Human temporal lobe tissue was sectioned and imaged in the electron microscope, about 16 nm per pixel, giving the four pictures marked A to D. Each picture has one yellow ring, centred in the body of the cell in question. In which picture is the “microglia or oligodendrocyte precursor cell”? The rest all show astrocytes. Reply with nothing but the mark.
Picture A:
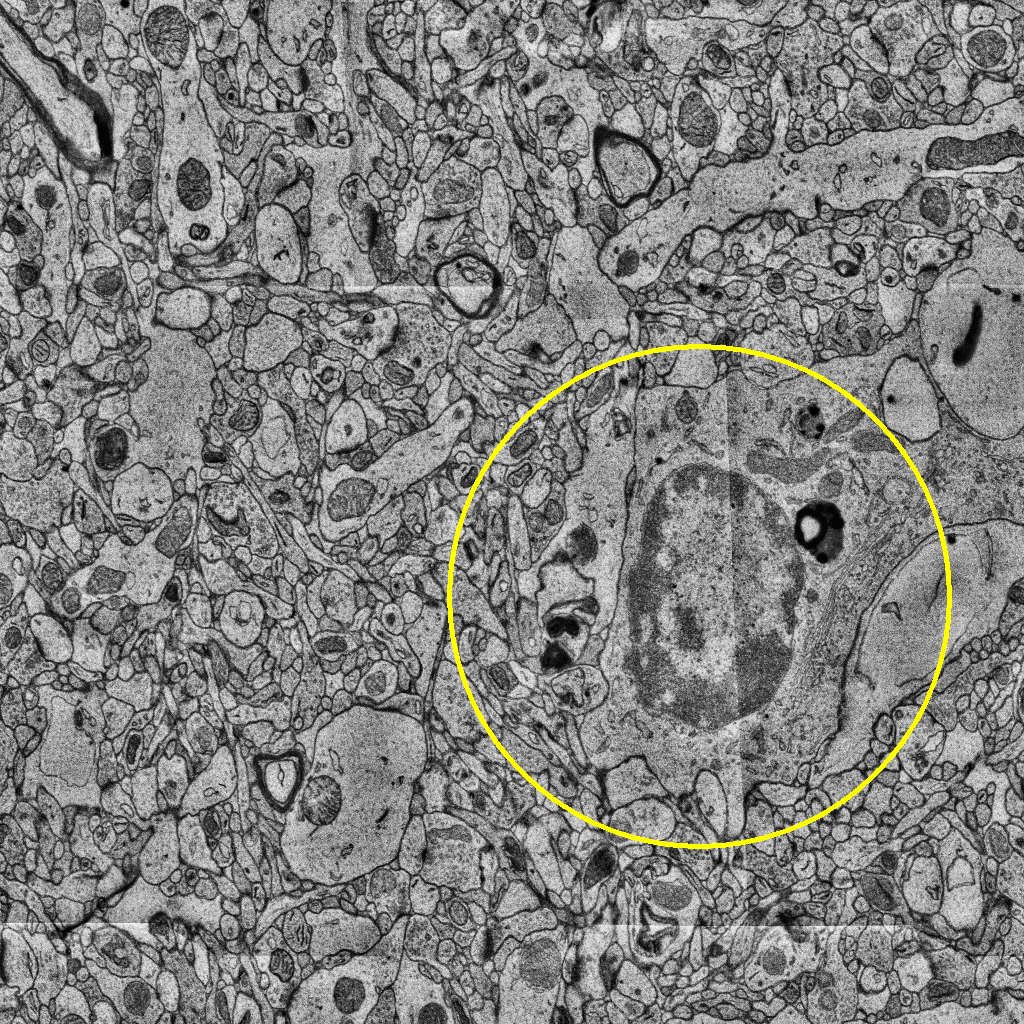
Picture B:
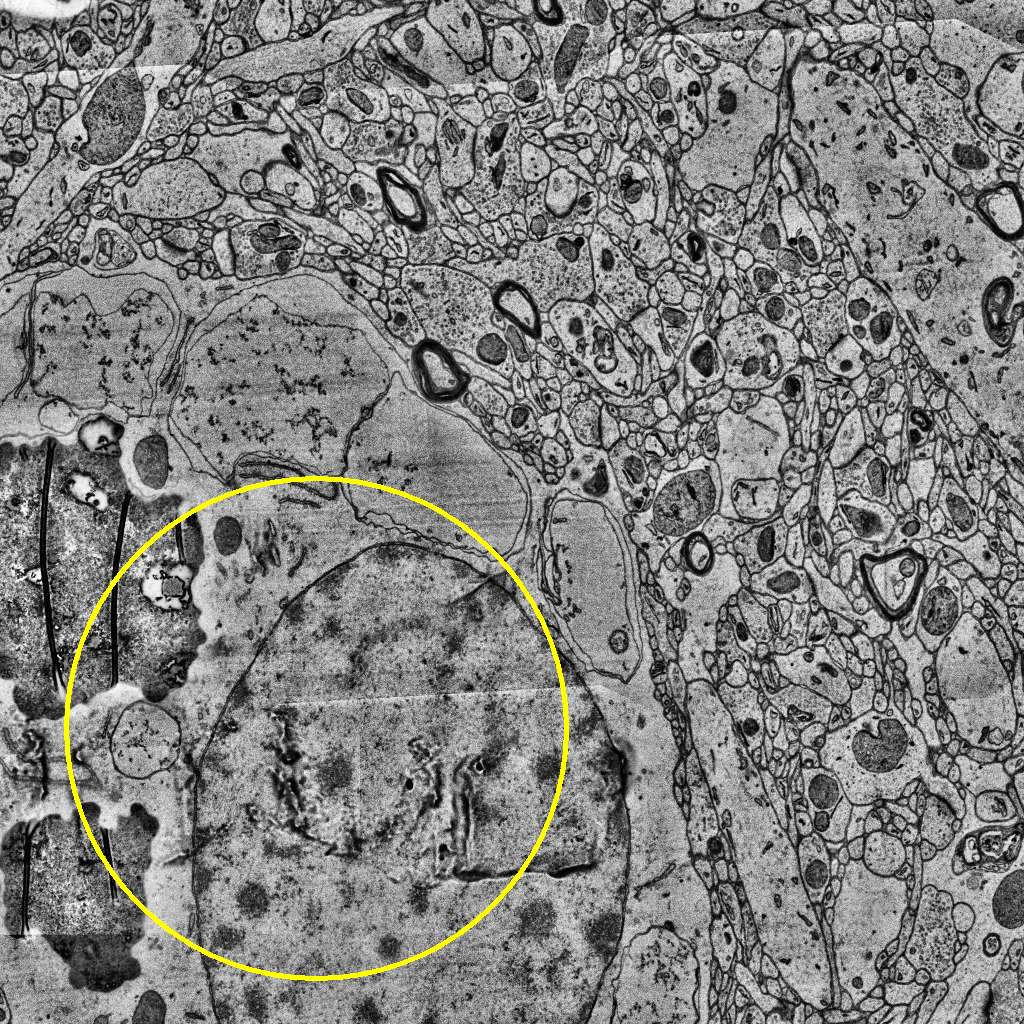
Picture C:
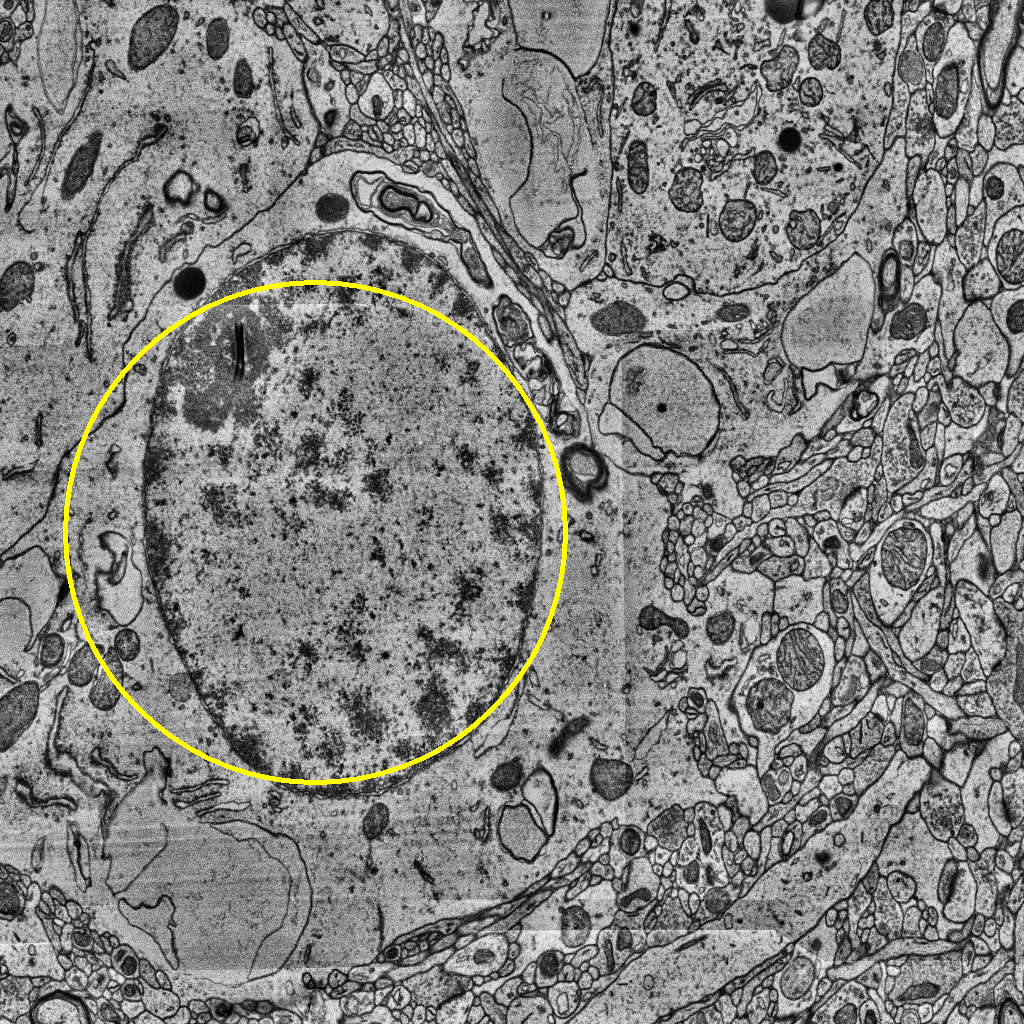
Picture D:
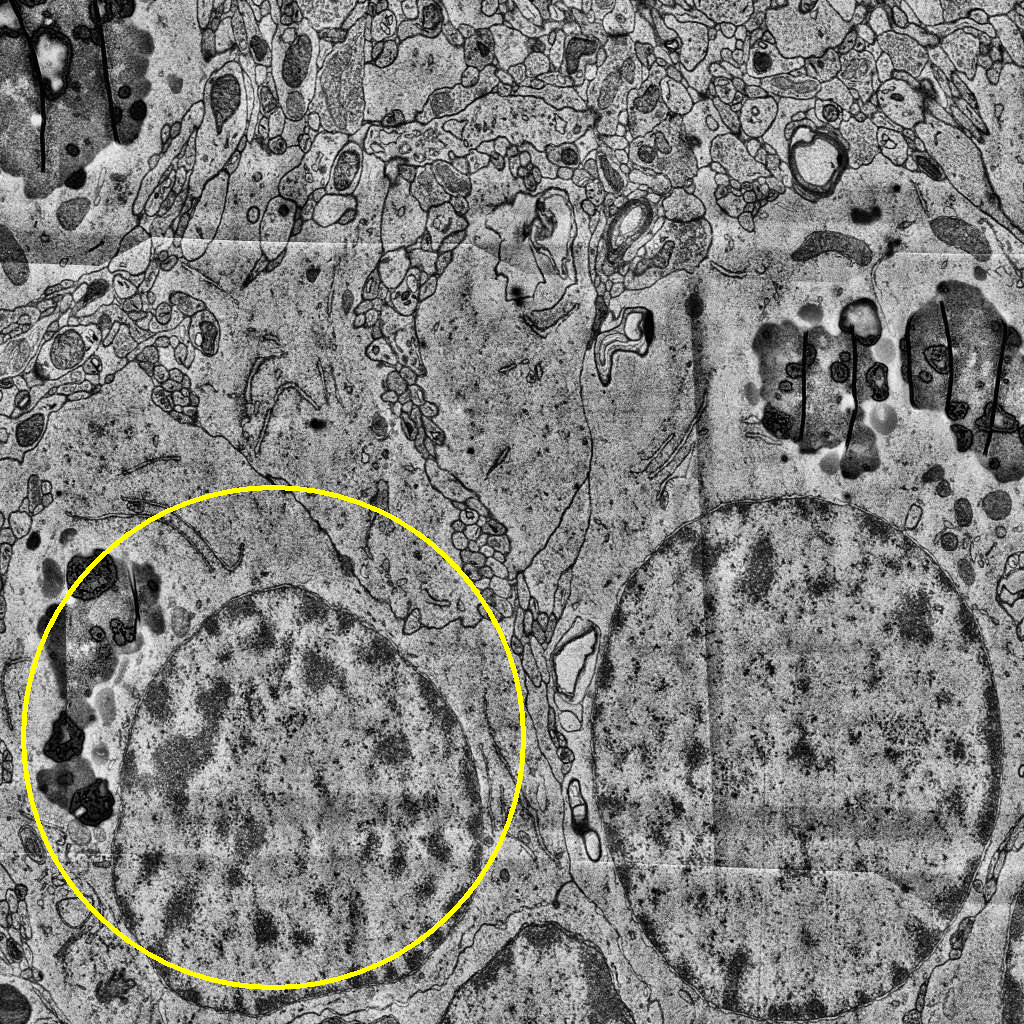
A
